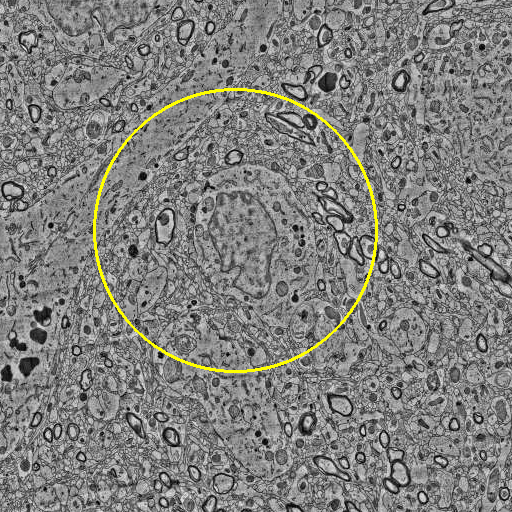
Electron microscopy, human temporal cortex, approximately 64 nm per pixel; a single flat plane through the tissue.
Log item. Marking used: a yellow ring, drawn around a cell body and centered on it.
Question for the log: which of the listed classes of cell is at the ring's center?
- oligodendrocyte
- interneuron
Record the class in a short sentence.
At the center of the ring lies an interneuron.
